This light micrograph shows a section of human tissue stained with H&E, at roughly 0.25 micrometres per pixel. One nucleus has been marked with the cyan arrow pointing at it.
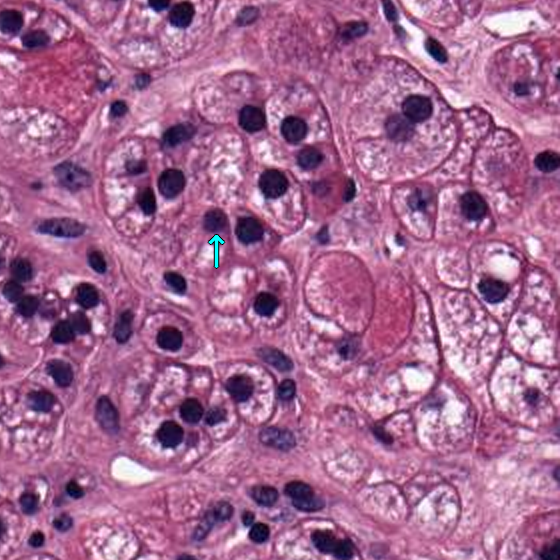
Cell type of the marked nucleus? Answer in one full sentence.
Belonging to an adrenal cortical cell is the marked nucleus.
